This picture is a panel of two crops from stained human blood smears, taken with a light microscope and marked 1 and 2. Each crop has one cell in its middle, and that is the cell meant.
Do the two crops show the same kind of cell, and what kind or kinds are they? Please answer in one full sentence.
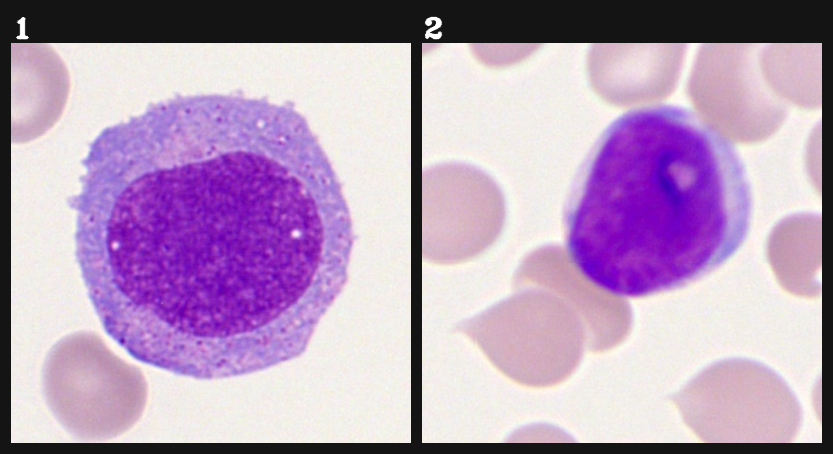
Yes, the cells that both crops show at the centre are myeloblasts.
